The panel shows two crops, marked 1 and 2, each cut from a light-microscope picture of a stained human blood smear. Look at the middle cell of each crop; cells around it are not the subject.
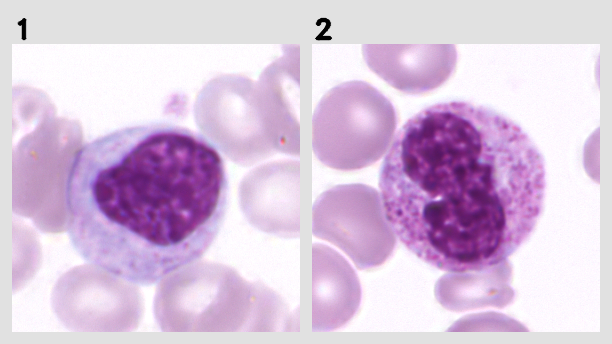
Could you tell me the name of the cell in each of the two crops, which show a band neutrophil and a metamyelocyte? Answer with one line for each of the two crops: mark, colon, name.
1: metamyelocyte
2: band neutrophil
